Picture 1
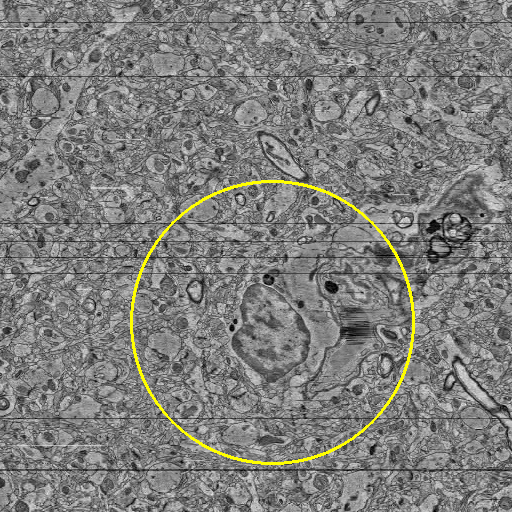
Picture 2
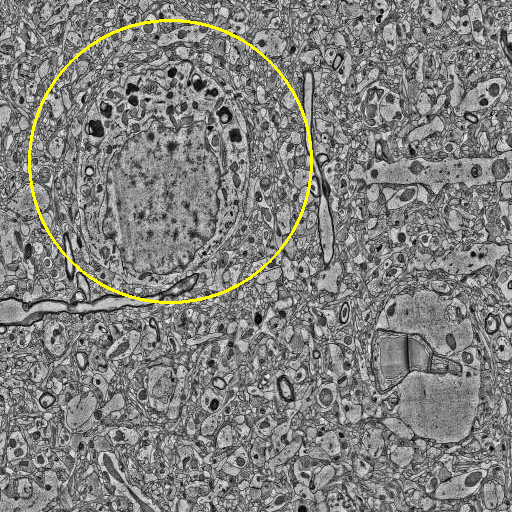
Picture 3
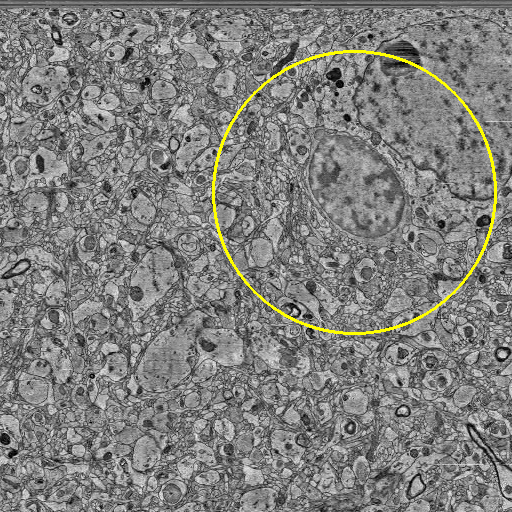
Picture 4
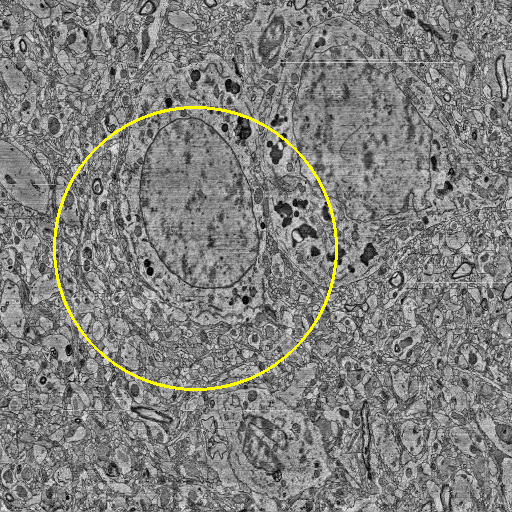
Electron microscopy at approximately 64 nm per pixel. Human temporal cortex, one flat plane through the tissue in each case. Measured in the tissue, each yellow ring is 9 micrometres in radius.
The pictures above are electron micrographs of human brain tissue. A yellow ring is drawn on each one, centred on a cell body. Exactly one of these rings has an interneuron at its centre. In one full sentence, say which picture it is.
Picture 2 has it at the centre of its ring.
